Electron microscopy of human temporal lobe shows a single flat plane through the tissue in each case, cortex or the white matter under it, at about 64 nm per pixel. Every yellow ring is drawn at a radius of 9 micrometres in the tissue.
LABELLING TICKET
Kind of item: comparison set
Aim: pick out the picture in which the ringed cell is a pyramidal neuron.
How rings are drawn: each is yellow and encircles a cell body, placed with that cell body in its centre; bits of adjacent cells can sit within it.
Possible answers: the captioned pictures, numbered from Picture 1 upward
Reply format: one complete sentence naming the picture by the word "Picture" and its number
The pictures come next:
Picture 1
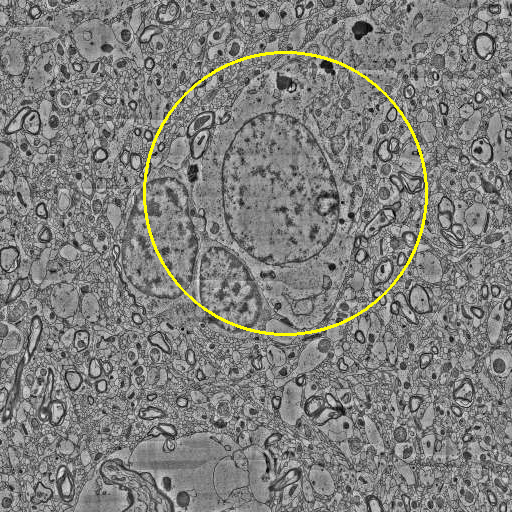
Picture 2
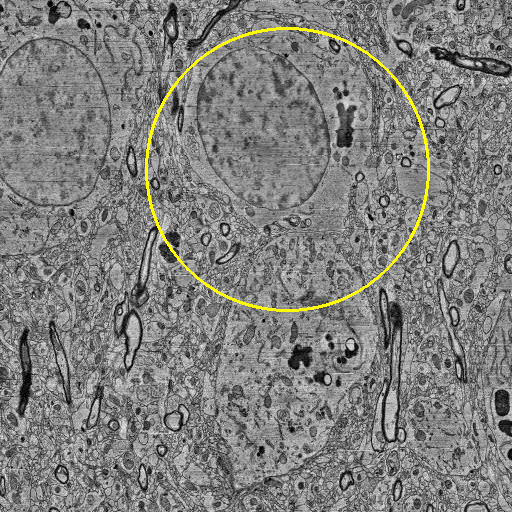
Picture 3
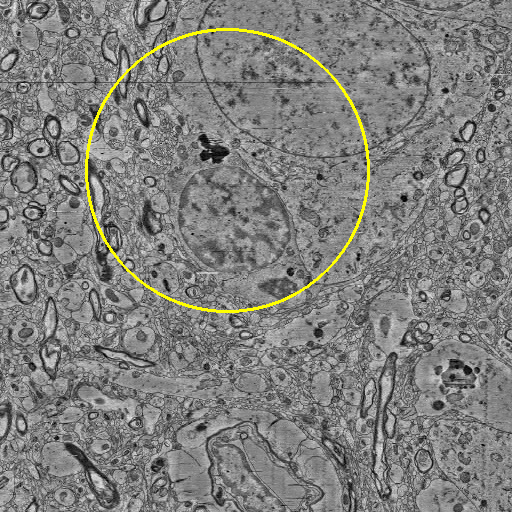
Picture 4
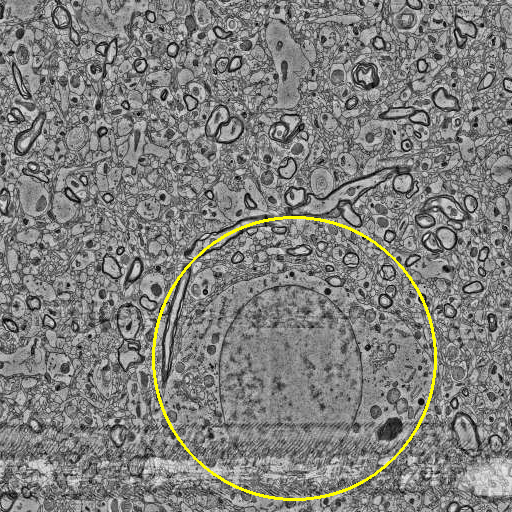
The cell centred inside the yellow ring in Picture 1 is the requested one.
